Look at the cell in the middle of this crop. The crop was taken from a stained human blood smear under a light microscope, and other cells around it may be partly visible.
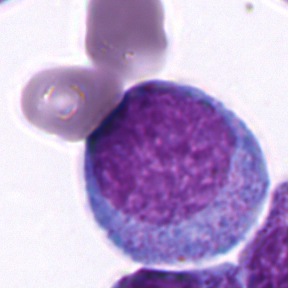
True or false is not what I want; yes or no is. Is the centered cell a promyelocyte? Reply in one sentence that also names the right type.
Yes, the cell of interest in the centre is a promyelocyte.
